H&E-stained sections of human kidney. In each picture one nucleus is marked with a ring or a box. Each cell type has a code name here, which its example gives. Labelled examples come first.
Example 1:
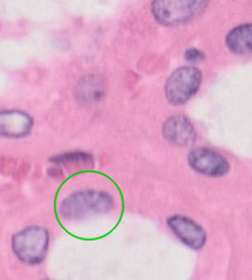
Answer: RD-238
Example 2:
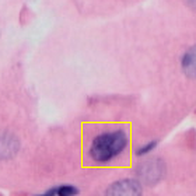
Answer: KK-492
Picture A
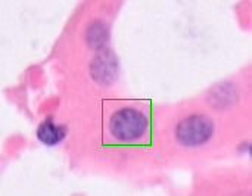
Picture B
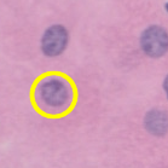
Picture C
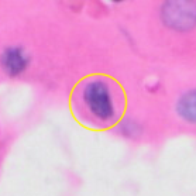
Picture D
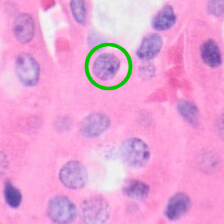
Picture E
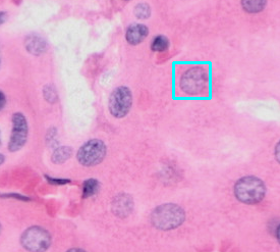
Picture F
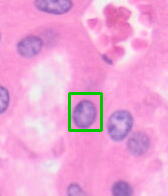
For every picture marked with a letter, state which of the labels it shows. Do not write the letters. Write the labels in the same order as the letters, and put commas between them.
RD-238, KK-492, RD-238, RD-238, KK-492, KK-492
